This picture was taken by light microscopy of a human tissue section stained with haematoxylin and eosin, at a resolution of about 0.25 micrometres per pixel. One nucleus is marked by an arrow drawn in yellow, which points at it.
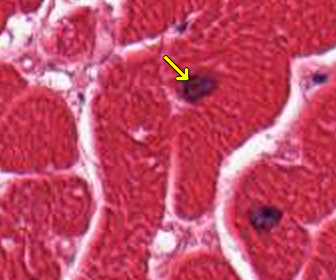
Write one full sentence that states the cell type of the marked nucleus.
A nucleus of a cardiomyocyte is the one that is marked.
